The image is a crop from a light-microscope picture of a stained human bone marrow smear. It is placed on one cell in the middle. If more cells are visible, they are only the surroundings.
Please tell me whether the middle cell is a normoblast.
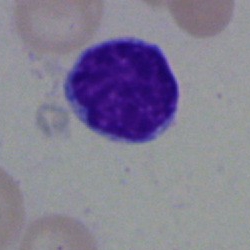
no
